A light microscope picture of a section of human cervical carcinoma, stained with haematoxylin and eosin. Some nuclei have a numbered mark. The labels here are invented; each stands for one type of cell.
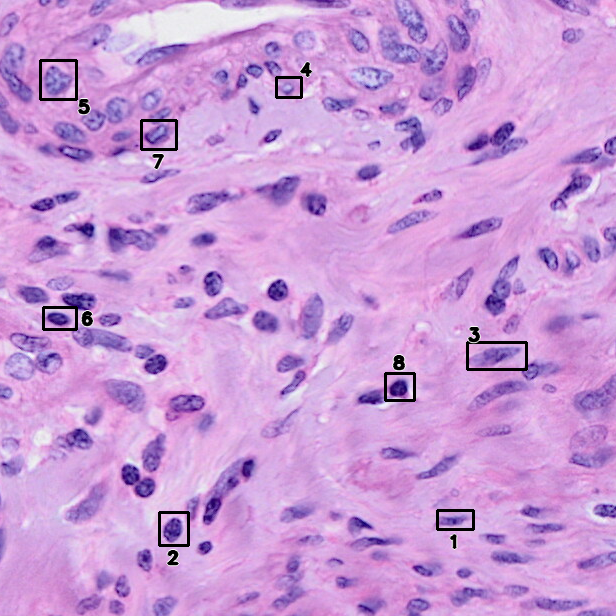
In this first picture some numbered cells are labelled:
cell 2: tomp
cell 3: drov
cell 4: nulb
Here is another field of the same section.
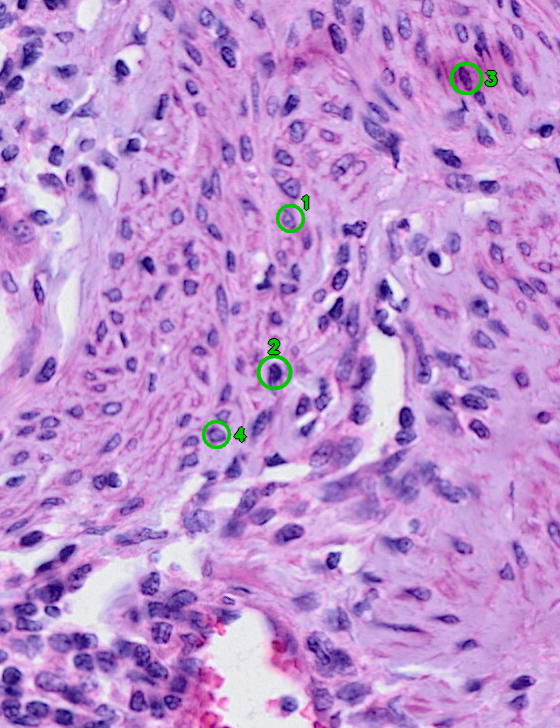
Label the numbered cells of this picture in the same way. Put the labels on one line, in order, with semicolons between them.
nulb; tomp; nulb; nulb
